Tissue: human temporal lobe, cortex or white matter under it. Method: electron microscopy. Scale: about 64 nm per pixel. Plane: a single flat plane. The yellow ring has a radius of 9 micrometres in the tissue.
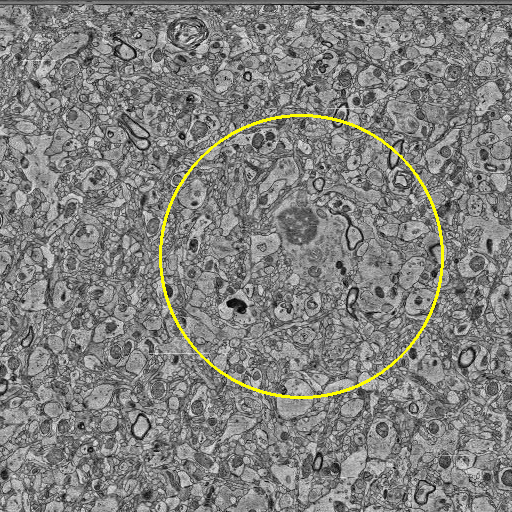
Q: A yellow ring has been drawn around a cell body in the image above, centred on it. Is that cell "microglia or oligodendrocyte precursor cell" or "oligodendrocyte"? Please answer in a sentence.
The ring surrounds the cell body of an oligodendrocyte.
